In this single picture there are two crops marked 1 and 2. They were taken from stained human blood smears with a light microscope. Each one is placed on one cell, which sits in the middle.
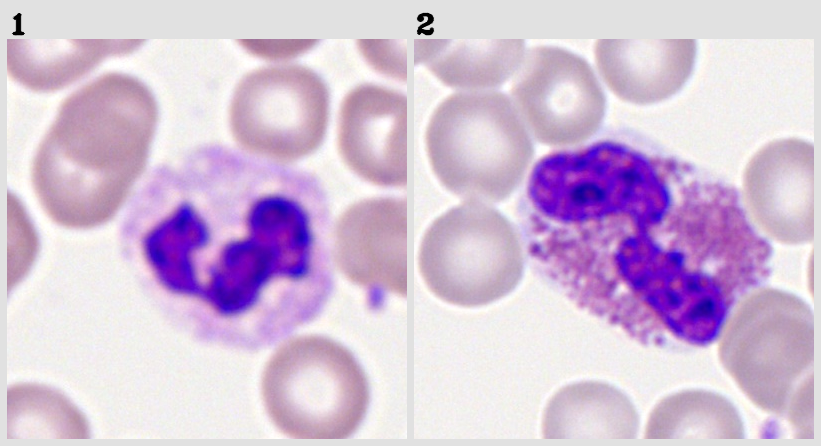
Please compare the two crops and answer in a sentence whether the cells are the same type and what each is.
No, crop 1 displays a neutrophil, and crop 2 displays an eosinophil.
